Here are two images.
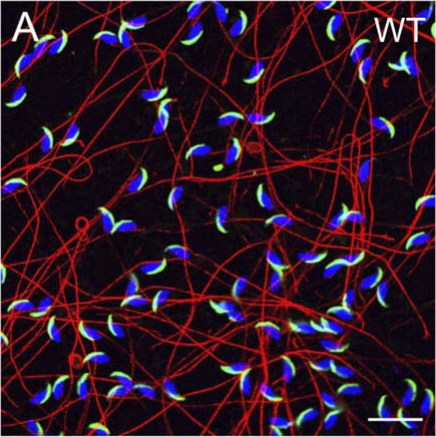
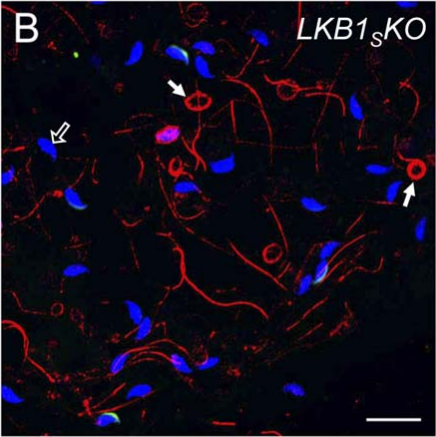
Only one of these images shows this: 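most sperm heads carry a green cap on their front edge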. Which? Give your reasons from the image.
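Second image: blue heads mostly without any green rim. First image: nearly every blue head bears a green crescent along its curved edge.
The first image.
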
